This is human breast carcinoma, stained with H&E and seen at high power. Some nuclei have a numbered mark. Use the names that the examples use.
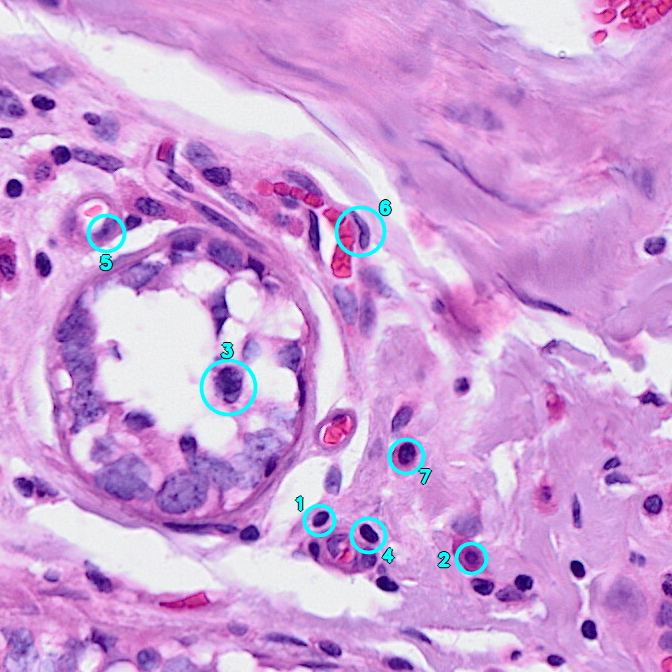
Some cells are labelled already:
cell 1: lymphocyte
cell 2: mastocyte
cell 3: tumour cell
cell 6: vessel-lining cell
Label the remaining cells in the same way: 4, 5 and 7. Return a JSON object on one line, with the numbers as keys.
{"4": "lymphocyte", "5": "vessel-lining cell", "7": "mastocyte"}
